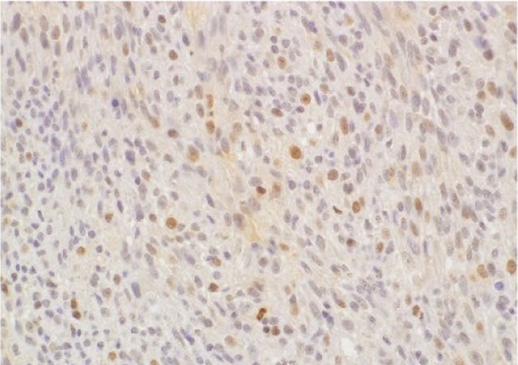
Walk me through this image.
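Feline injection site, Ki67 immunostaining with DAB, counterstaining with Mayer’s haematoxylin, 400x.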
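Densely cellular fibrosarcoma composed of spindle-shaped tumour cells with elongated oval nuclei arranged in streaming fascicles. Numerous nuclei are stained brown, scattered among blue-counterstained nuclei, with faint pale brown background between cells.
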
